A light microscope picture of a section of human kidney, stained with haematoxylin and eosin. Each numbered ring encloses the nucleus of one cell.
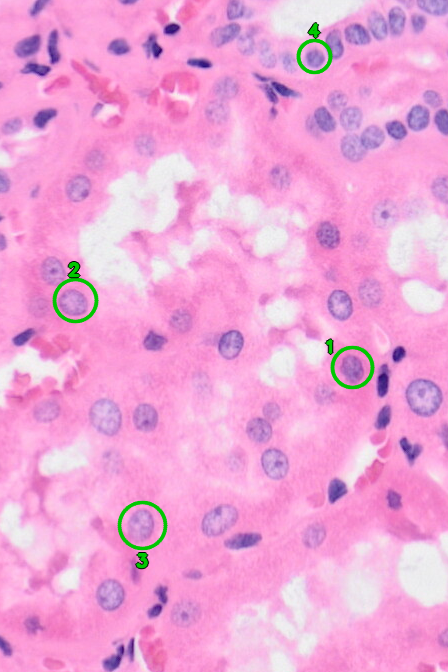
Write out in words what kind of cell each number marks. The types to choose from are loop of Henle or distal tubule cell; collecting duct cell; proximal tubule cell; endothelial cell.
Cells 1, 2 and 3 are proximal tubule cells. Cell 4 is a collecting duct cell.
